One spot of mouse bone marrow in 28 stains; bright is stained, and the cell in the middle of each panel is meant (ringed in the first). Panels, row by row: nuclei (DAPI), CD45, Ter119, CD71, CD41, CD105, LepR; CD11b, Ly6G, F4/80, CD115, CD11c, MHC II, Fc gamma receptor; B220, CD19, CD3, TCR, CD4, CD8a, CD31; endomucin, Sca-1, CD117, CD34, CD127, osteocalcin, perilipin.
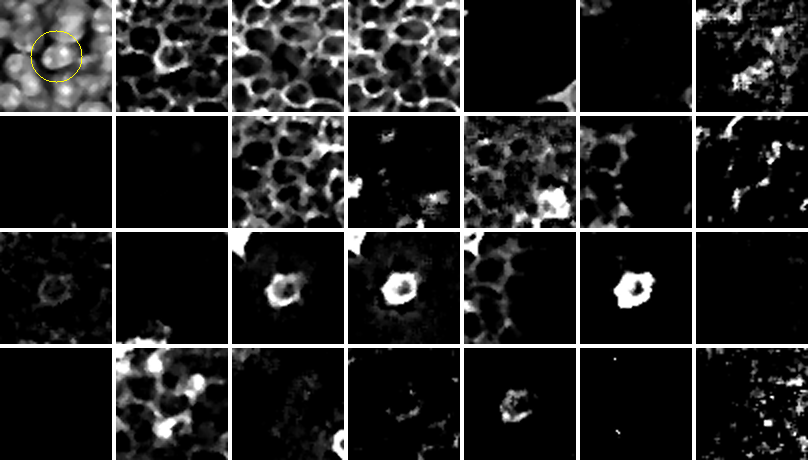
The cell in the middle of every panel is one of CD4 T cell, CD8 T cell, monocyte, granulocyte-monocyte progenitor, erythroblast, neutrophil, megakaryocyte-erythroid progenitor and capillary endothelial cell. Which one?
CD8 T cell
